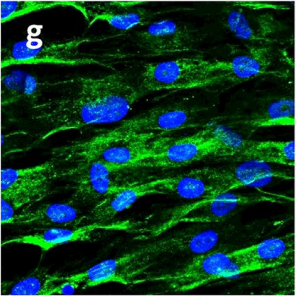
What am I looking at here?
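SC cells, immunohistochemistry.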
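Crowded cultured cells, elongated and aligned in a common direction, each with one oval blue nucleus. Some faint green dots also overlie the nuclei. Dark narrow spaces separate some cells. The cells form a nearly confluent sheet of spindle-shaped cells, nearly all of them carrying the green stain.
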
